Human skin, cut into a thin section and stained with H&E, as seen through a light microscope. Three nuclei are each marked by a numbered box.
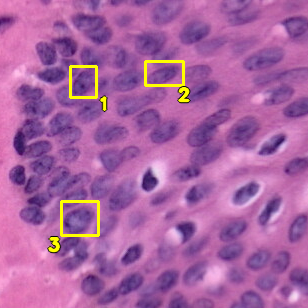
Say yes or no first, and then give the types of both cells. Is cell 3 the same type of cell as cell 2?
No, cell 3 is a basal keratinocyte and cell 2 is a suprabasal keratinocyte.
